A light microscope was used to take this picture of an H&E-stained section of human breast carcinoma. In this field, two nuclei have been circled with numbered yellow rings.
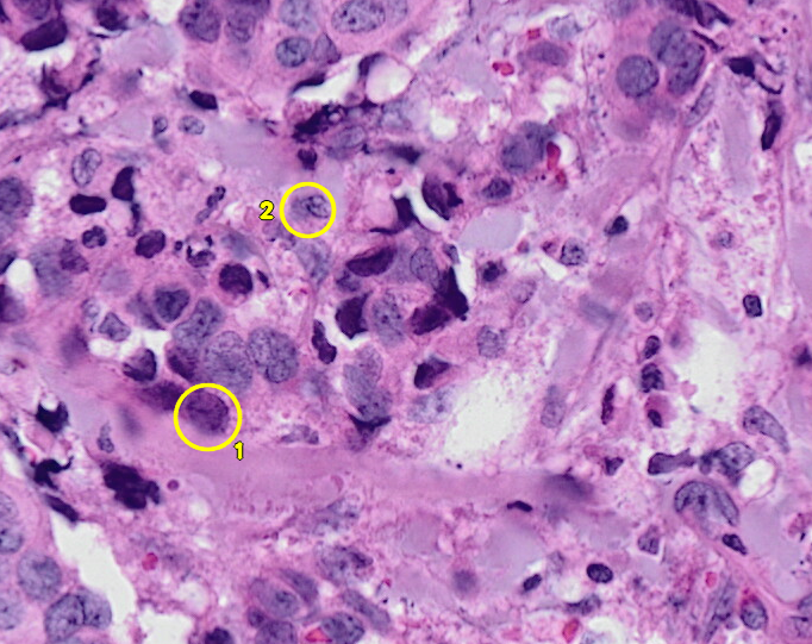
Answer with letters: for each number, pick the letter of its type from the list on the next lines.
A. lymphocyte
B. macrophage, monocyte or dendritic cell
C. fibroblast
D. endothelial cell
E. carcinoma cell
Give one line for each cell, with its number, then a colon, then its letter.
1: E
2: B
